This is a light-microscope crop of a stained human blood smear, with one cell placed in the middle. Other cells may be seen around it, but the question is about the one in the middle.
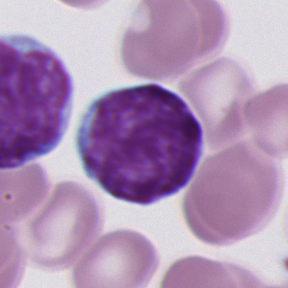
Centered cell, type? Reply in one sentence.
This crop has a typical lymphocyte at its centre.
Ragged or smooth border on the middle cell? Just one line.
There are no projections here; the outline is simply smooth.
